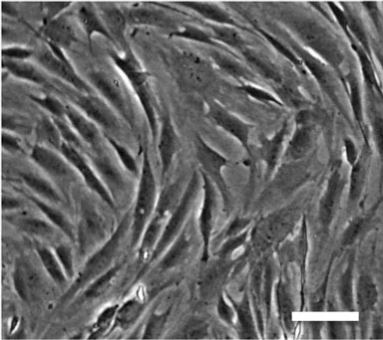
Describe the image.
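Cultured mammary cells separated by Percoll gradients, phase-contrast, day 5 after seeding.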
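The field is covered by long, slender spindle-shaped cells lying side by side in parallel bundles. The bundles bend and sweep across the dish, giving a swirling, streaming pattern. The cytoplasm is flat and pale, and the borders between neighbouring cells are hard to make out, unlike the sharply outlined cells of an epithelial sheet.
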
